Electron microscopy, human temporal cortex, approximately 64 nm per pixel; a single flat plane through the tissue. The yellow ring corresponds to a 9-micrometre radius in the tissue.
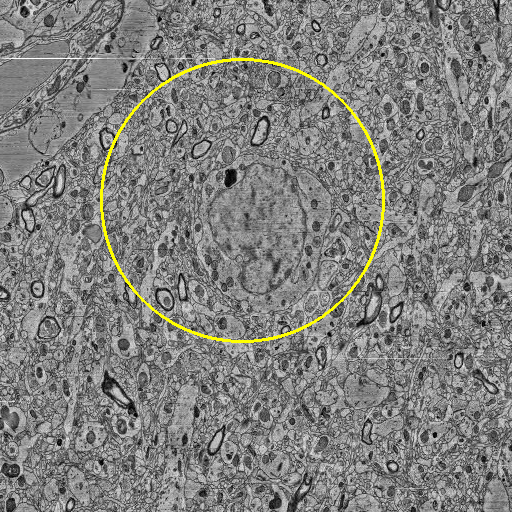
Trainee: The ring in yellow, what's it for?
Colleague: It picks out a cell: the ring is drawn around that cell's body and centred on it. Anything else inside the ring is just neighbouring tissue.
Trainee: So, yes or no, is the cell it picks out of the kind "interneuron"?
yes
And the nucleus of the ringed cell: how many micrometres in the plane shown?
In this plane the nucleus spans approximately 9 by 6 micrometers.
